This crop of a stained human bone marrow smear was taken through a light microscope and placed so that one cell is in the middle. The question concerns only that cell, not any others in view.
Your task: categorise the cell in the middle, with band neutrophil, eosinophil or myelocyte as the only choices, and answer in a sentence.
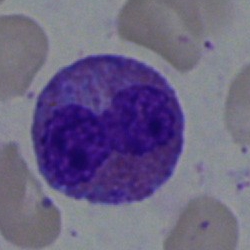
In this crop, the cell at the very middle is an eosinophil.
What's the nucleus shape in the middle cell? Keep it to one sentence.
The nucleus is segmented, with two or more lobes present.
